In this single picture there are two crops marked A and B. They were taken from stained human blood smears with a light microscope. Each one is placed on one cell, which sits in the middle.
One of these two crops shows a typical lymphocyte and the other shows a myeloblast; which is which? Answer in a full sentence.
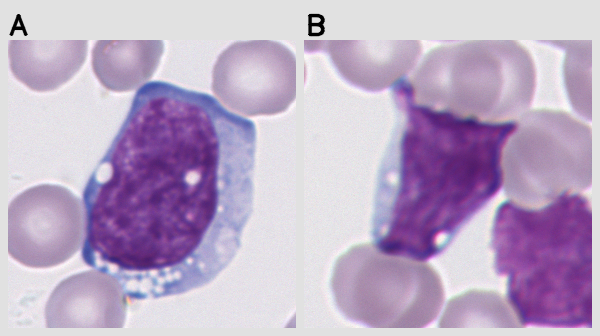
The middle cell in crop A is a myeloblast; the middle cell in crop B is a typical lymphocyte.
